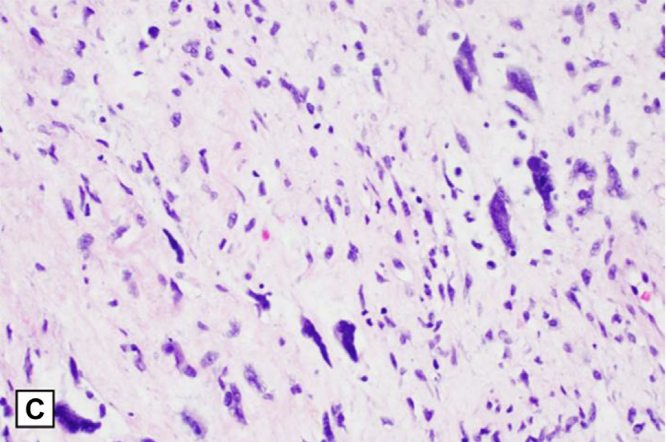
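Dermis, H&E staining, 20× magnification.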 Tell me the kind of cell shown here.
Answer: Multinucleated giant cells.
